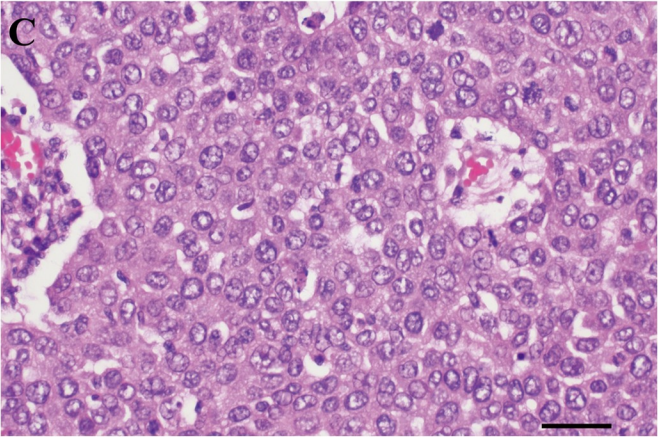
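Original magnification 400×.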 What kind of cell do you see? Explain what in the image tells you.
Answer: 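Sheets of crowded cells with large round to oval nuclei. Nuclei vary in size and have prominent nucleoli. A few dark condensed mitotic figures are present. That points to this answer: malignant tumor cells.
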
